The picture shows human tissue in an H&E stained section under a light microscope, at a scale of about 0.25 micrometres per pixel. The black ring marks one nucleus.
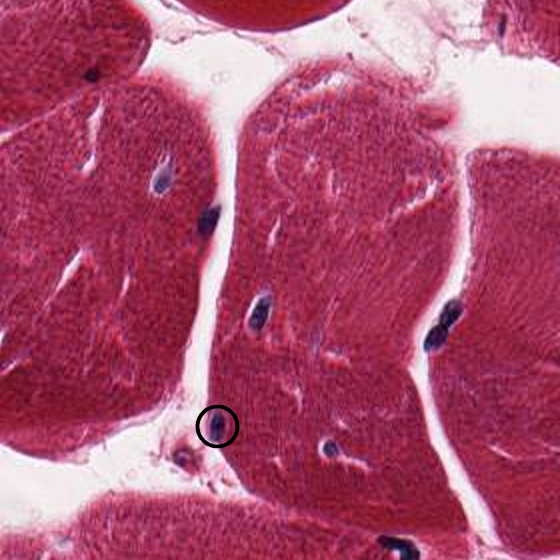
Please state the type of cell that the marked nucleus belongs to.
skeletal muscle fibre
